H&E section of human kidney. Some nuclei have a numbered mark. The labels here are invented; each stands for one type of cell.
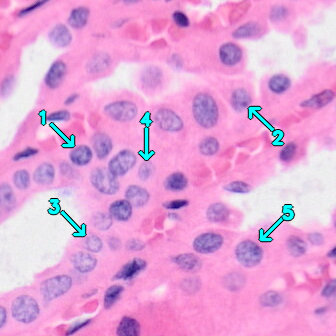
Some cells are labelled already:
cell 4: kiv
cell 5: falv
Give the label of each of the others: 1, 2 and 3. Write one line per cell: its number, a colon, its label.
1: kiv
2: falv
3: kiv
